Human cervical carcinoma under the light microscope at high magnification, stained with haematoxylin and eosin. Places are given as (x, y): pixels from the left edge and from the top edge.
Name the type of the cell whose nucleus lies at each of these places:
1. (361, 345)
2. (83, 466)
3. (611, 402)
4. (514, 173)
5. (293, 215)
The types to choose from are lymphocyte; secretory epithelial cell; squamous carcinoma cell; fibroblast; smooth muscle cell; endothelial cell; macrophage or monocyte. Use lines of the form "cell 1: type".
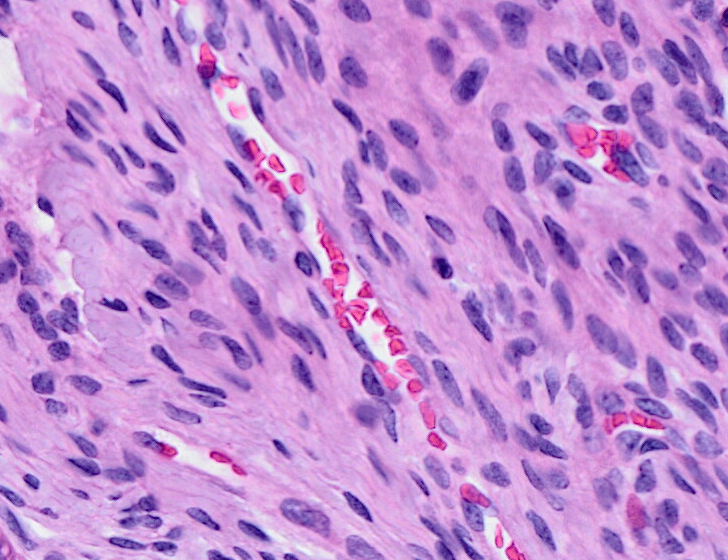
cell 1: endothelial cell
cell 2: fibroblast
cell 3: endothelial cell
cell 4: fibroblast
cell 5: endothelial cell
